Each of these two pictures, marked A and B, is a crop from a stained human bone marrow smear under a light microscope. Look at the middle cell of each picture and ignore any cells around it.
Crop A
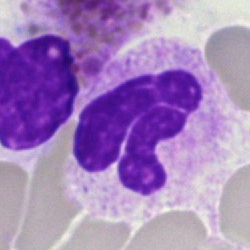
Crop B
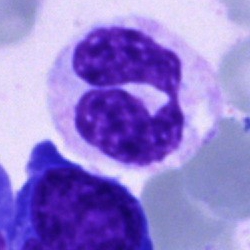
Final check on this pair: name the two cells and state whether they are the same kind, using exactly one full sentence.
Yes, the two crops show segmented neutrophils at their centres.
